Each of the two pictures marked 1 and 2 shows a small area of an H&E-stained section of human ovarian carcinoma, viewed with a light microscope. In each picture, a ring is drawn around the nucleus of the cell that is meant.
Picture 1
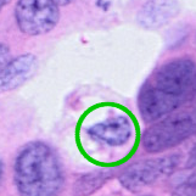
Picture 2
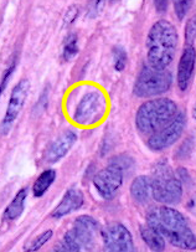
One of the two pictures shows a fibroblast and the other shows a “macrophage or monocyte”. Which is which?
1: macrophage or monocyte
2: fibroblast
